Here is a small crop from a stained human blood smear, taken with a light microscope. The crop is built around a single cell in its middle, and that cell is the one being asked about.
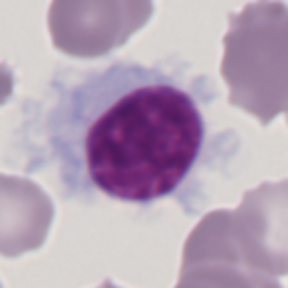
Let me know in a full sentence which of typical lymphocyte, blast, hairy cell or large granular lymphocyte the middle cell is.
Seen at the centre of the crop is a hairy cell.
